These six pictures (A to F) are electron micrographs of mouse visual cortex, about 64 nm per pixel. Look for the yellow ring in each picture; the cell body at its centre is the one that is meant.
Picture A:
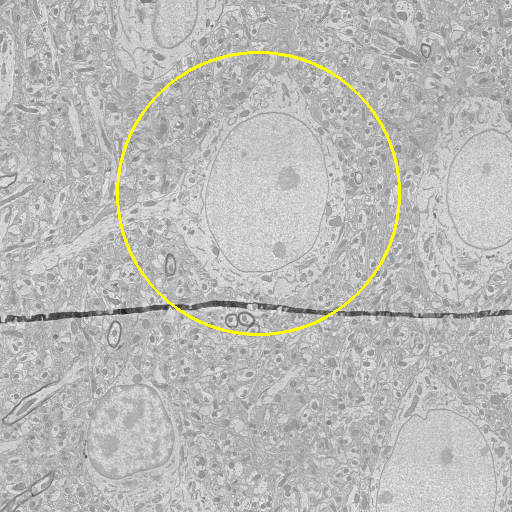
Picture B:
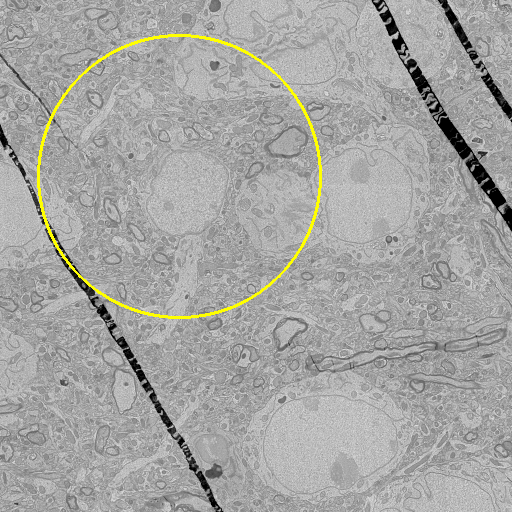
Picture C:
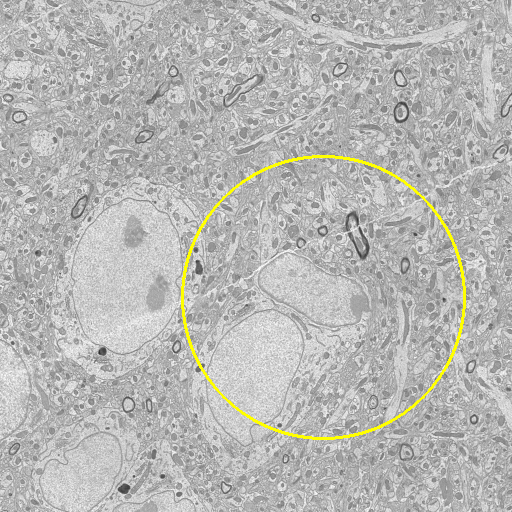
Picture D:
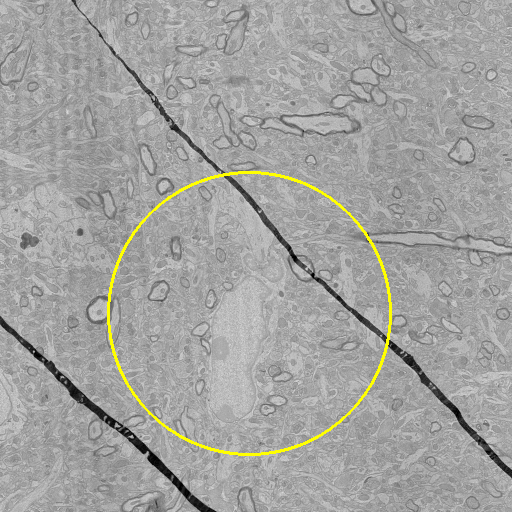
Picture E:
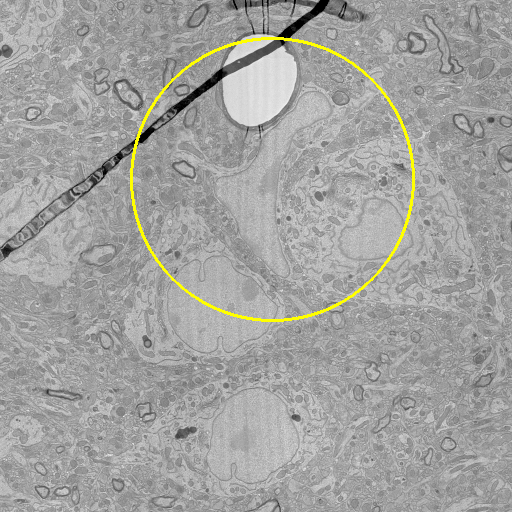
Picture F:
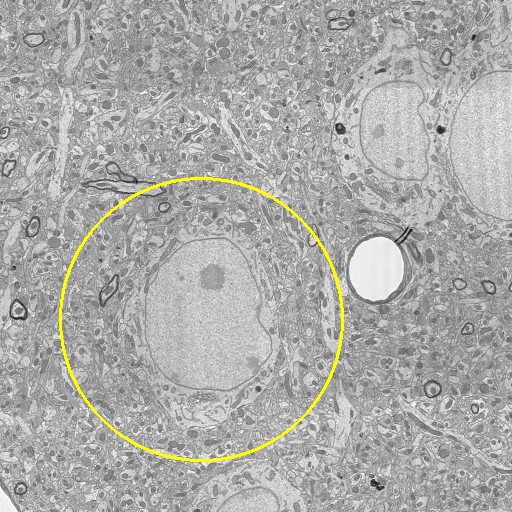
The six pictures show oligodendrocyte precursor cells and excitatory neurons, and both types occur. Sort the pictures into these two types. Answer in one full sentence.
Pictures B, C, D and E show oligodendrocyte precursor cells; pictures A and F show excitatory neurons.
